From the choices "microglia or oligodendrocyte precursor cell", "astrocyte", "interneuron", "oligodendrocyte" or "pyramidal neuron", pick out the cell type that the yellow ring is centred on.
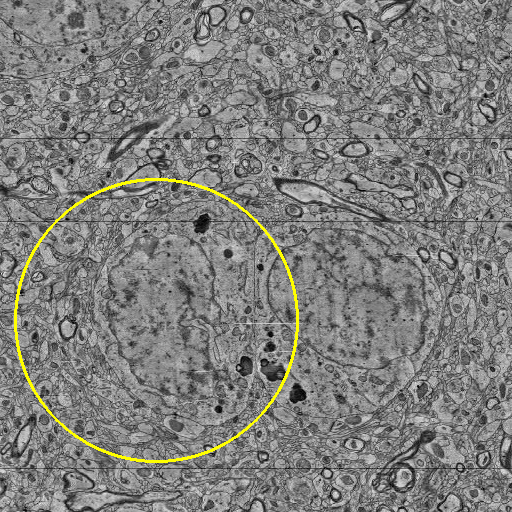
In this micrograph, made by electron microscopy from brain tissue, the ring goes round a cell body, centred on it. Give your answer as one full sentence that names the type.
The yellow ring is centred on an interneuron, whose cell body it encircles in the picture.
